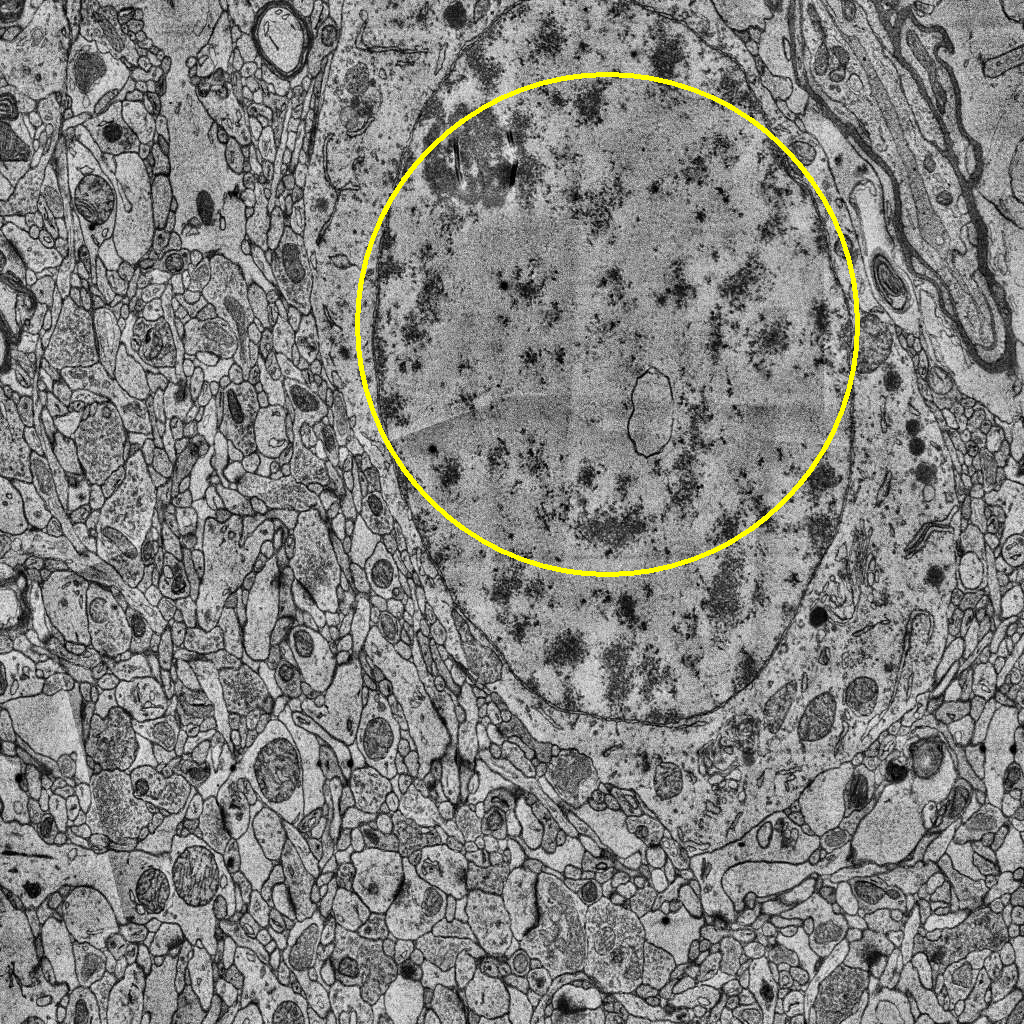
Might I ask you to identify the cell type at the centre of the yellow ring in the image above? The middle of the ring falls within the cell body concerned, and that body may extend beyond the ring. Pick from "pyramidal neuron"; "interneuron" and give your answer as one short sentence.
The centre of the ring falls on a pyramidal neuron.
